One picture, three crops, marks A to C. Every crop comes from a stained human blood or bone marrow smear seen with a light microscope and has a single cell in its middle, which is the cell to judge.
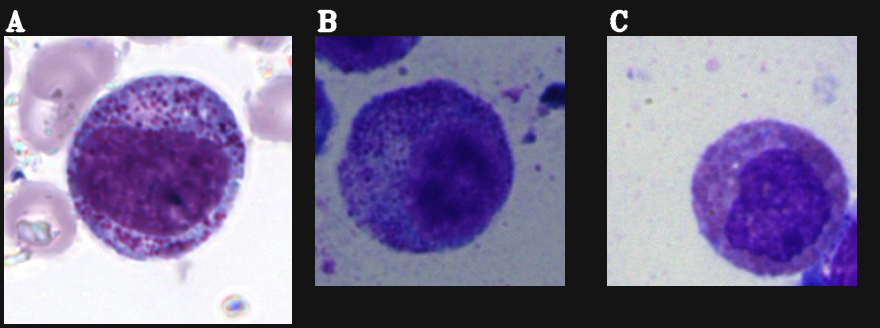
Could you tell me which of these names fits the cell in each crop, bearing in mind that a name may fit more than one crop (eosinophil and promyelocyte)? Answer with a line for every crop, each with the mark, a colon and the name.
A: promyelocyte
B: promyelocyte
C: eosinophil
